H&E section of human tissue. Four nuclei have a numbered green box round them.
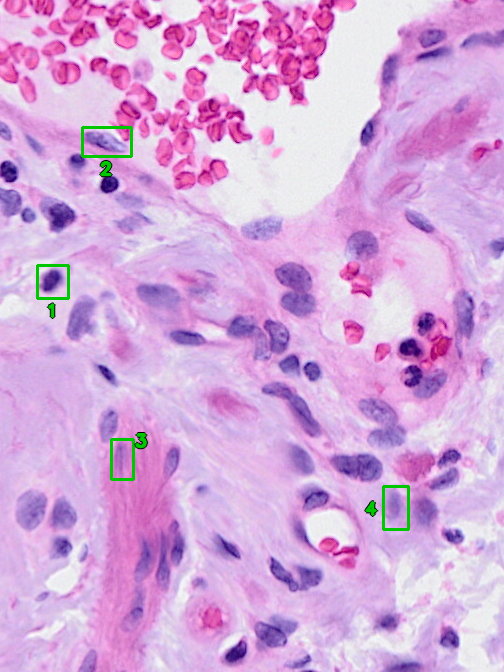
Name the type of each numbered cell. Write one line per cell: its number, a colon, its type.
1: lymphocyte
2: endothelial cell
3: smooth muscle cell
4: fibroblast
